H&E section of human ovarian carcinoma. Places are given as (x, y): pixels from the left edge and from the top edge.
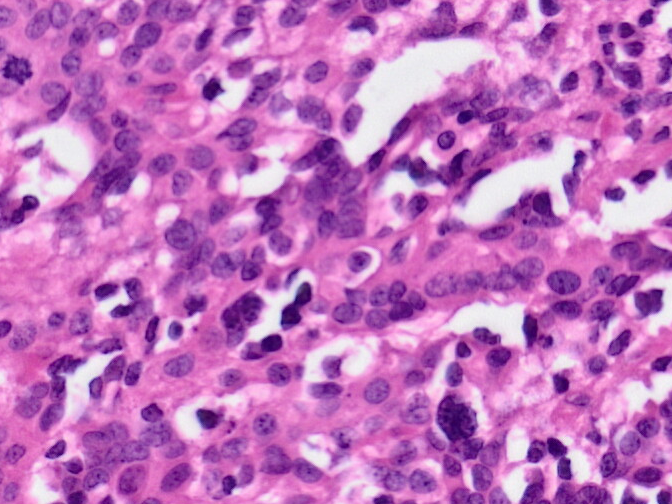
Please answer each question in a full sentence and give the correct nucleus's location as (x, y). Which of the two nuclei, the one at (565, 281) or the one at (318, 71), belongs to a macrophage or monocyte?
The nucleus that belongs to a macrophage or monocyte is located at (318, 71).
